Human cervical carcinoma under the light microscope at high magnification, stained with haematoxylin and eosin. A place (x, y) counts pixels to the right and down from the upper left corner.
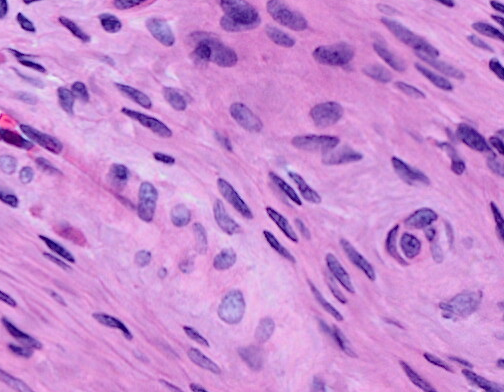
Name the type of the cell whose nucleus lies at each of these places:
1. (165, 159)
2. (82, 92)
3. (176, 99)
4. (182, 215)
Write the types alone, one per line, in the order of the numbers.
fibroblast
fibroblast
fibroblast
smooth muscle cell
